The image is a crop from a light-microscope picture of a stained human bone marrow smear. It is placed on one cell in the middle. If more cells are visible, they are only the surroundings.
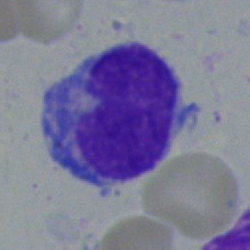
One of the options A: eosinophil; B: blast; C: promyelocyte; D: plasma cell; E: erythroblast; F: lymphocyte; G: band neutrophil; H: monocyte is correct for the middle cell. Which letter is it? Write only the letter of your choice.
H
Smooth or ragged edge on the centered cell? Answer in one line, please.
The margin of this cell is irregular, showing raggedness or projections instead of smoothness.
